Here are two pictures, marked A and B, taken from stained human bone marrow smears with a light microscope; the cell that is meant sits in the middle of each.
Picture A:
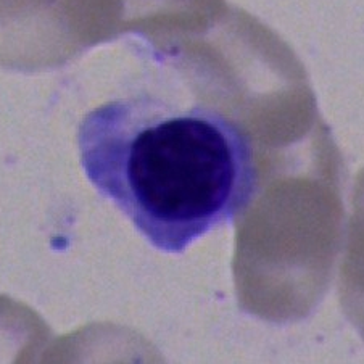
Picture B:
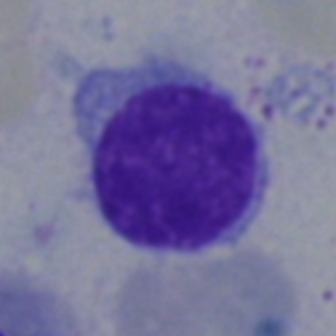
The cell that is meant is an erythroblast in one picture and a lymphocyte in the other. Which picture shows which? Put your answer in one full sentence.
In picture A the cell is an erythroblast; in picture B, a lymphocyte.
